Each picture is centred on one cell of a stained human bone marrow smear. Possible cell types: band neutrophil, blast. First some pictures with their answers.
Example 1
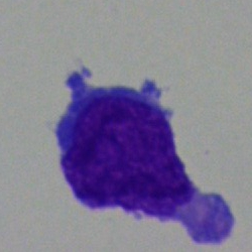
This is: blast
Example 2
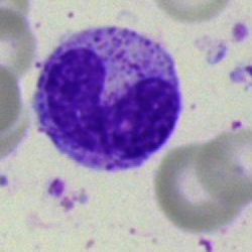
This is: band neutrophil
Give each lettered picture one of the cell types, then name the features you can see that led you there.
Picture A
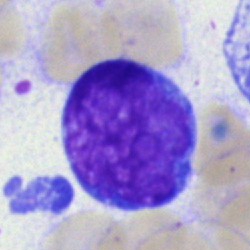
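Label: blast. The cytoplasm forms only a thin rim that is widest on the right side.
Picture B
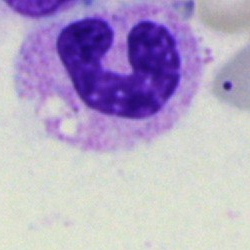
Label: band neutrophil. The nucleus is a thick horseshoe shape whose open side faces upward.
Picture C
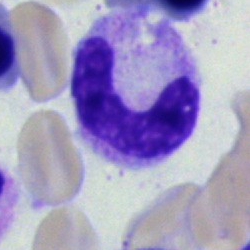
Label: band neutrophil. The cytoplasm is plentiful and pale lilac, filling the hollow of the nuclear curve.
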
